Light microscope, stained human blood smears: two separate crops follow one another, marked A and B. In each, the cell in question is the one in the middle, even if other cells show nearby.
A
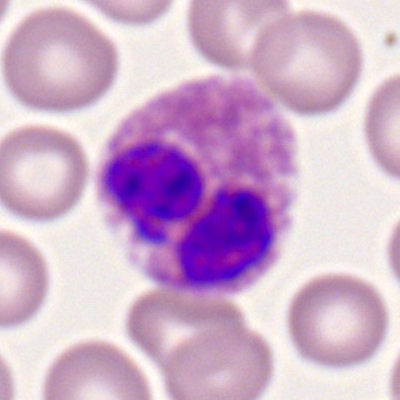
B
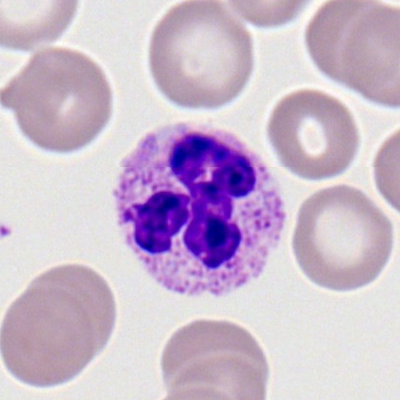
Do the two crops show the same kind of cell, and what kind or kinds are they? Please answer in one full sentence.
No, crop A depicts an eosinophil; crop B depicts a neutrophil.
